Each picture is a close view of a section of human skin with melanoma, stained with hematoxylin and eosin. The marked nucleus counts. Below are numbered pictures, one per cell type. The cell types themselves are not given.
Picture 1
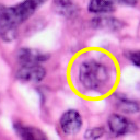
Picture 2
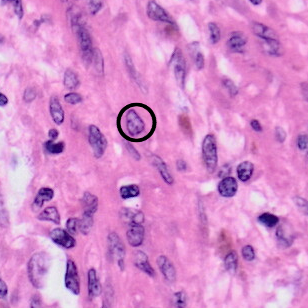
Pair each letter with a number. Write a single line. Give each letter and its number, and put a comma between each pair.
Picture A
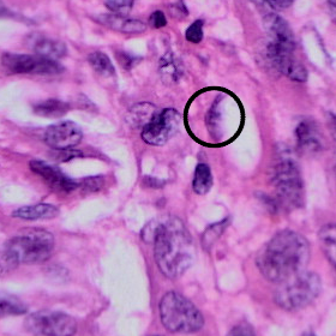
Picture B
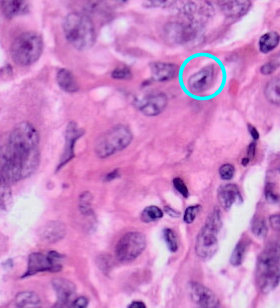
A 2, B 2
